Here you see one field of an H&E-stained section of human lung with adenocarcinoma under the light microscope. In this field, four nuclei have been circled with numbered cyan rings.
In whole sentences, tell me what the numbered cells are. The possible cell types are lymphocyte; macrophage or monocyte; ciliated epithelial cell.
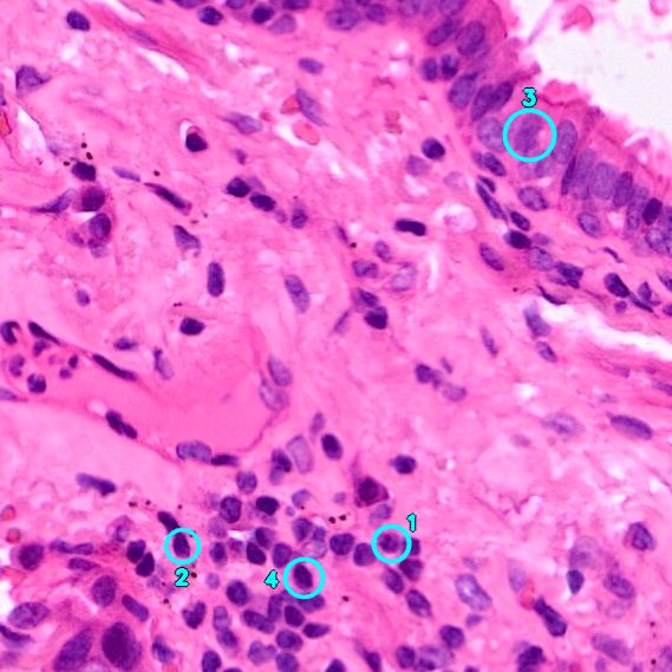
Cells 1, 2 and 4 are lymphocytes. Cell 3 is a ciliated epithelial cell.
